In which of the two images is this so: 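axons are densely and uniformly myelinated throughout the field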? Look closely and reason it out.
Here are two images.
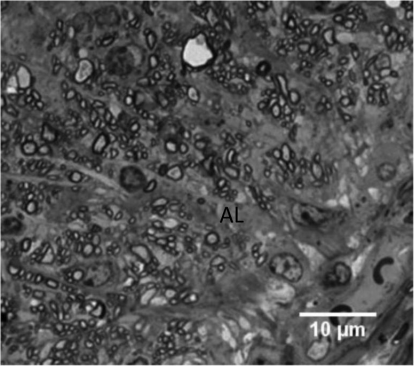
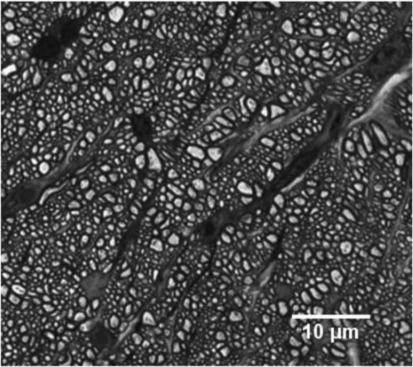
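The second image. First image: axon profiles are sparse with wide pale areas between them. Second image: axon profiles with dark rings fill the whole field densely.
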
